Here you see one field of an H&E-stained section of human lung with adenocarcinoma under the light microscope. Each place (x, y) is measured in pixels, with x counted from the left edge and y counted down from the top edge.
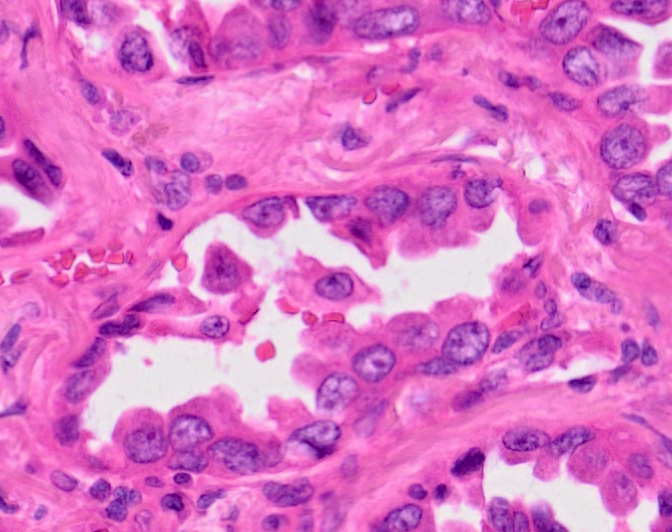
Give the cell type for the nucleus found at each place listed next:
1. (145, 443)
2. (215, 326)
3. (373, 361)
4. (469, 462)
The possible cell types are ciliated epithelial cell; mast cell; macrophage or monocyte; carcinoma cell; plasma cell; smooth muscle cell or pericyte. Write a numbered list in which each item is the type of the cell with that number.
1. carcinoma cell
2. macrophage or monocyte
3. carcinoma cell
4. carcinoma cell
